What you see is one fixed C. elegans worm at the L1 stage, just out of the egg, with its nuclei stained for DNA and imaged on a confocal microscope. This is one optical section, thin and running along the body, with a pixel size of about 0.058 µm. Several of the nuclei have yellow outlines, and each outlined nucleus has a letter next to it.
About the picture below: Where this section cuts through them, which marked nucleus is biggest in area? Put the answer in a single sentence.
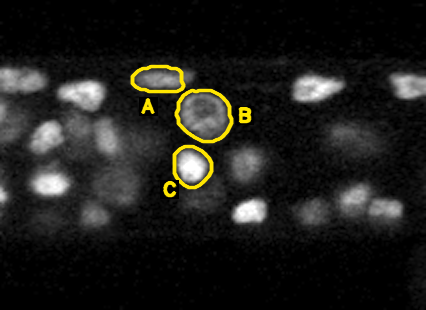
Nucleus B covers the most area here.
